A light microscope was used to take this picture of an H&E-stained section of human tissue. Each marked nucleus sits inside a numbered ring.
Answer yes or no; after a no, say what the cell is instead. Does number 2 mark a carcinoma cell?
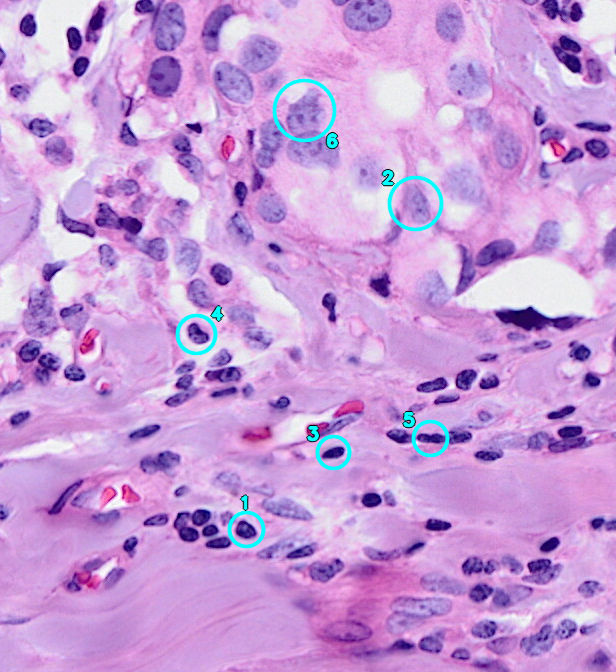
Yes.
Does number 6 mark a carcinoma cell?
Yes.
